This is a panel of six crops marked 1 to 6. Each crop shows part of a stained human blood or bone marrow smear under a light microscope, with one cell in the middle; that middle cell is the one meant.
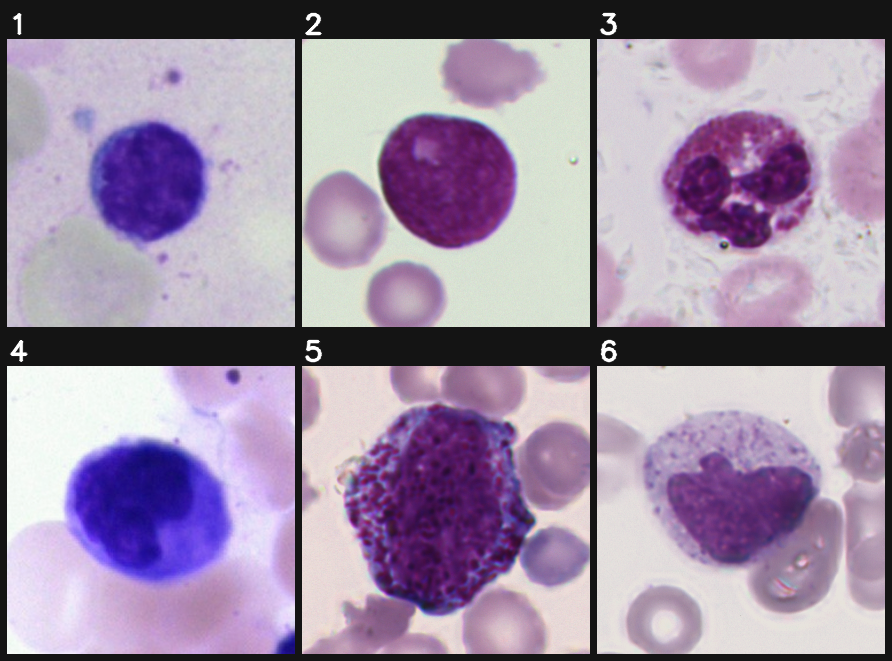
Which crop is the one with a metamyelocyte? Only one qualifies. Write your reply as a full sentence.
Crop 6 is the crop whose central cell is a metamyelocyte.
